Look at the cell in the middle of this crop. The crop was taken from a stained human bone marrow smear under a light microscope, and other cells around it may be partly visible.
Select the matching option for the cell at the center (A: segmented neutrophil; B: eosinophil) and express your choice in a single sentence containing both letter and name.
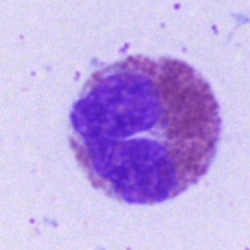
Option B is right, the centrally situated cell being an eosinophil.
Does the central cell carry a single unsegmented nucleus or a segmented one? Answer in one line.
It is worth mentioning that the nucleus carries two or more lobes.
